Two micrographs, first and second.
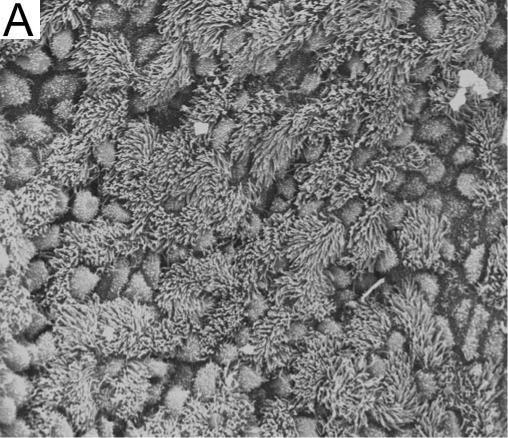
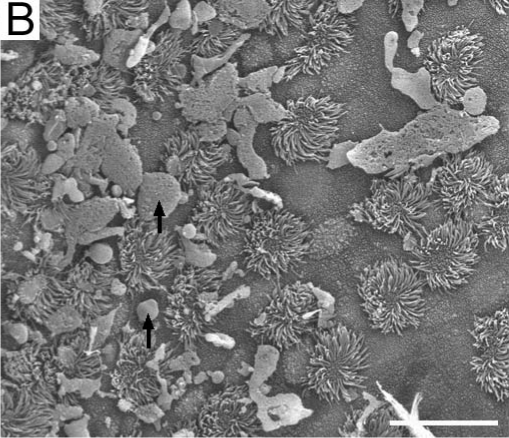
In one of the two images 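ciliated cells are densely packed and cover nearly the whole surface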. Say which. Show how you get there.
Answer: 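The first image. Second image: separate ciliary tufts lie scattered with wide flat surface between them. First image: ciliary tufts crowd together over almost the whole field.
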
